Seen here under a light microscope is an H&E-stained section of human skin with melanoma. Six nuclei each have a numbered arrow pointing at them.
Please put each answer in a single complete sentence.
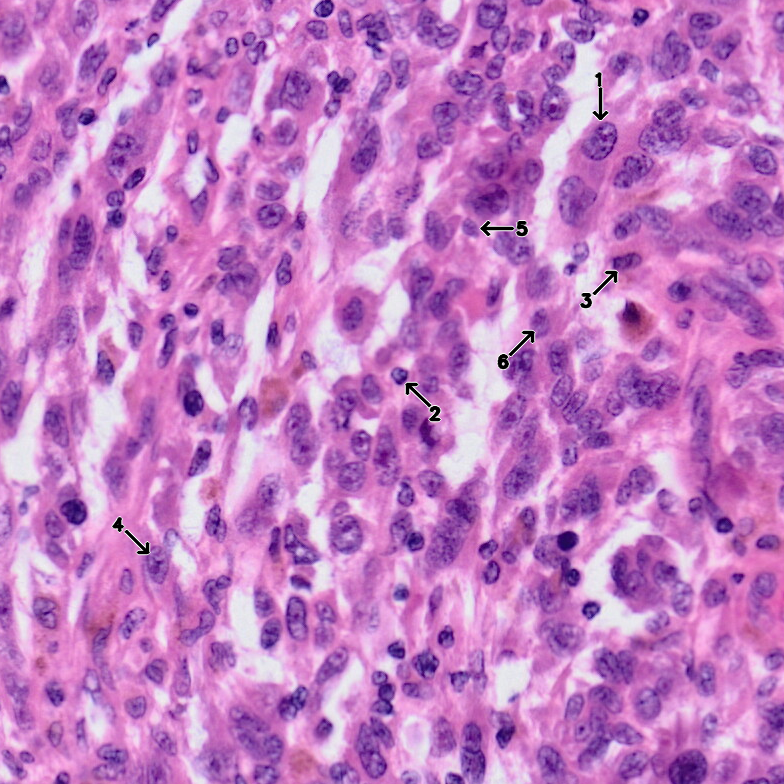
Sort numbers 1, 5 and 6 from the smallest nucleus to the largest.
By area, going up from the smallest, they rank 5, 6, 1.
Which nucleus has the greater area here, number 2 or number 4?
Nucleus 4 covers more area, about 3 times as much as nucleus 2.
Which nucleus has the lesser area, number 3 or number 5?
It is nucleus 5; nucleus 3 has about 2 times its area.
